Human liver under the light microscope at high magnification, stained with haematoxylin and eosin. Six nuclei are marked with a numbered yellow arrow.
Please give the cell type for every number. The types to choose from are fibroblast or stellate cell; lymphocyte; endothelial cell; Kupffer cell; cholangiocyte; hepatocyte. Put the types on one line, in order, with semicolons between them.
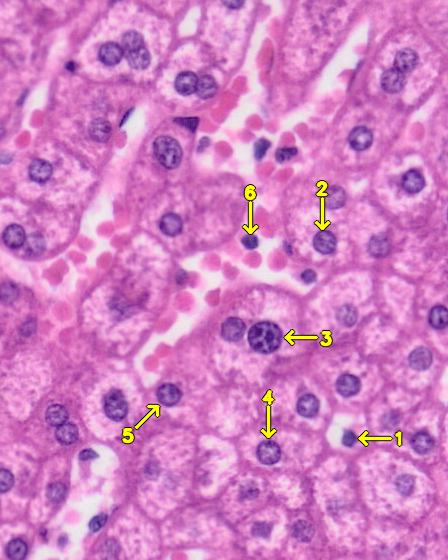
lymphocyte; hepatocyte; hepatocyte; hepatocyte; hepatocyte; lymphocyte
